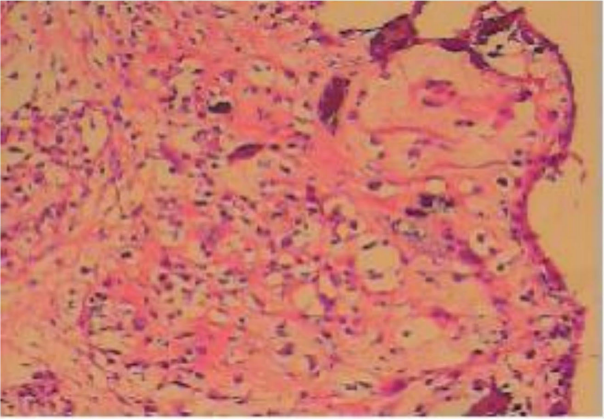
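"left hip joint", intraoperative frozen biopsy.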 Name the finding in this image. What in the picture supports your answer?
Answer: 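Chronic inflammatory cell infiltration. Many small dark-staining nuclei are scattered through a loose pink stroma. The cells are dispersed individually rather than forming an organized epithelium.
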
